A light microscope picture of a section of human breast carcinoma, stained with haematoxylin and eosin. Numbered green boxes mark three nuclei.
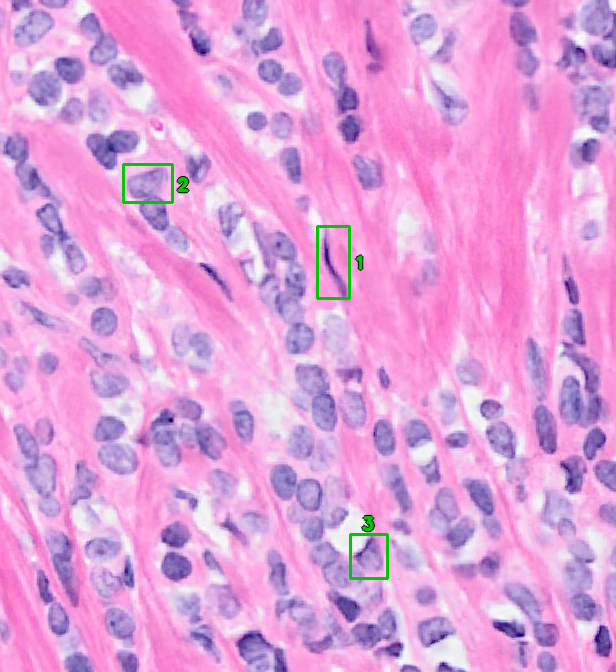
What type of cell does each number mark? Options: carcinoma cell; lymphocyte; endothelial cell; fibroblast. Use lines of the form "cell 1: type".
cell 1: fibroblast
cell 2: carcinoma cell
cell 3: carcinoma cell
